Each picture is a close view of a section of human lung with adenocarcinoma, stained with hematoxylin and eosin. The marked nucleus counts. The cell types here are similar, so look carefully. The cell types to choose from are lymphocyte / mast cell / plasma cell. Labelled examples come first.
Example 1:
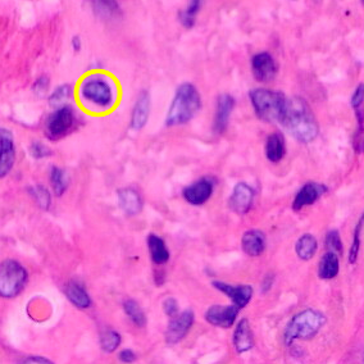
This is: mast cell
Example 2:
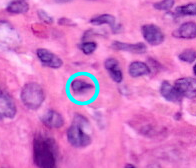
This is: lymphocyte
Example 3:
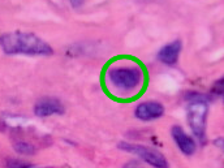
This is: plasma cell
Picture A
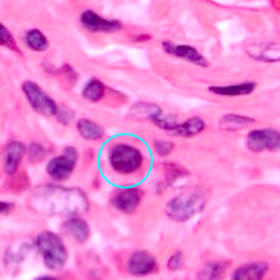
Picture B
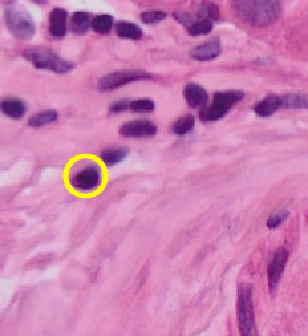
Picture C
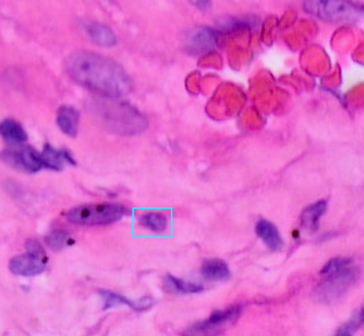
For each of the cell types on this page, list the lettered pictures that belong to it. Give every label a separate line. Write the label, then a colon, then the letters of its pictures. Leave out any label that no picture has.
lymphocyte: B
mast cell: C
plasma cell: A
